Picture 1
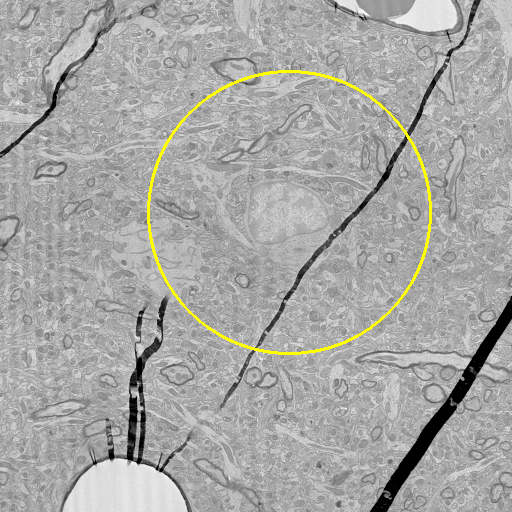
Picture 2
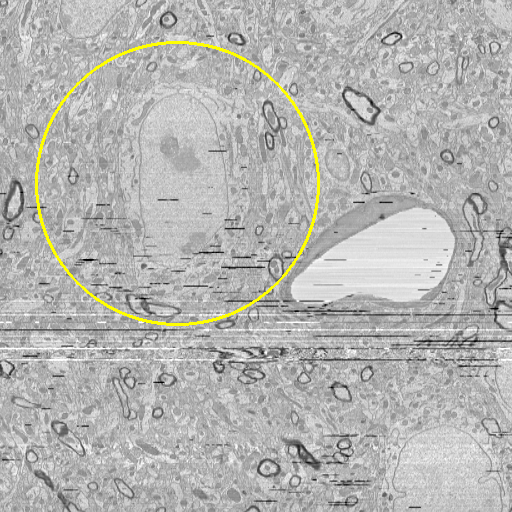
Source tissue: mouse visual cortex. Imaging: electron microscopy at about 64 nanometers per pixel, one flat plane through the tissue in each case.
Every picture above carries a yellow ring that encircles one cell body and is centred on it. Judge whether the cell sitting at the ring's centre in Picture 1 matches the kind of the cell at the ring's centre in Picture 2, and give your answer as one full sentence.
No, the cells centred in the rings of Pictures 1 and 2 belong to two kinds.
